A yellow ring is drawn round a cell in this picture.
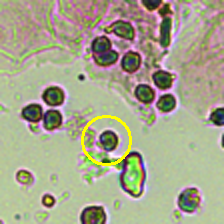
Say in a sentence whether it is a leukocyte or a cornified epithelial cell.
The cell in the ring is a leukocyte.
